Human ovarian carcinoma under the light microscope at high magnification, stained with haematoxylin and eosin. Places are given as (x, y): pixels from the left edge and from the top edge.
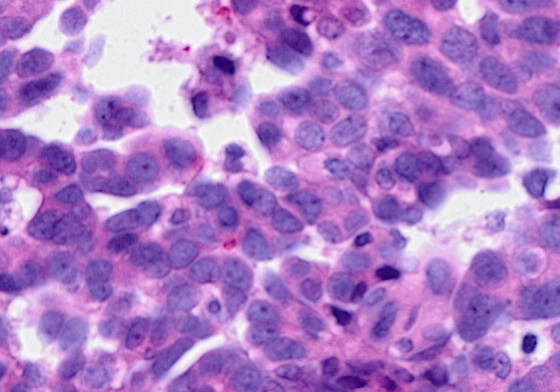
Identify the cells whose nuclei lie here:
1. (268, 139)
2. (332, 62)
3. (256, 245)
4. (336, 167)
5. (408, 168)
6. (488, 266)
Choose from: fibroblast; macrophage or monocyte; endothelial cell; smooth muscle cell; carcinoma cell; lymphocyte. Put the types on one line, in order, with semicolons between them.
carcinoma cell; macrophage or monocyte; carcinoma cell; macrophage or monocyte; carcinoma cell; carcinoma cell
